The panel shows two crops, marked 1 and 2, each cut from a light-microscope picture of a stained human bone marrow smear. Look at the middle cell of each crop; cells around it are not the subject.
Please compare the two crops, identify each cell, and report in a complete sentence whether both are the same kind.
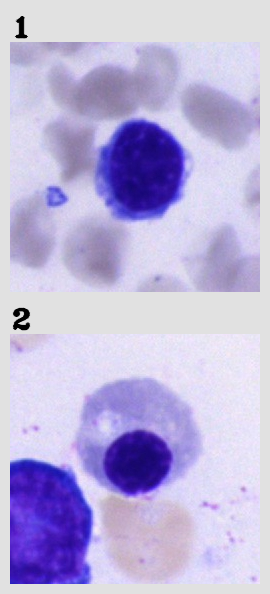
No, whereas crop 1 shows a lymphocyte, crop 2 shows an erythroblast.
